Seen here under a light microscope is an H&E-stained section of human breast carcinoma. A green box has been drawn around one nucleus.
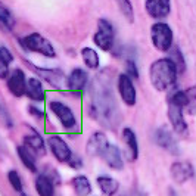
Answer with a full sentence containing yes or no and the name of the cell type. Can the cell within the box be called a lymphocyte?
Yes, with respect to cell type, the cell within the box is a lymphocyte.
